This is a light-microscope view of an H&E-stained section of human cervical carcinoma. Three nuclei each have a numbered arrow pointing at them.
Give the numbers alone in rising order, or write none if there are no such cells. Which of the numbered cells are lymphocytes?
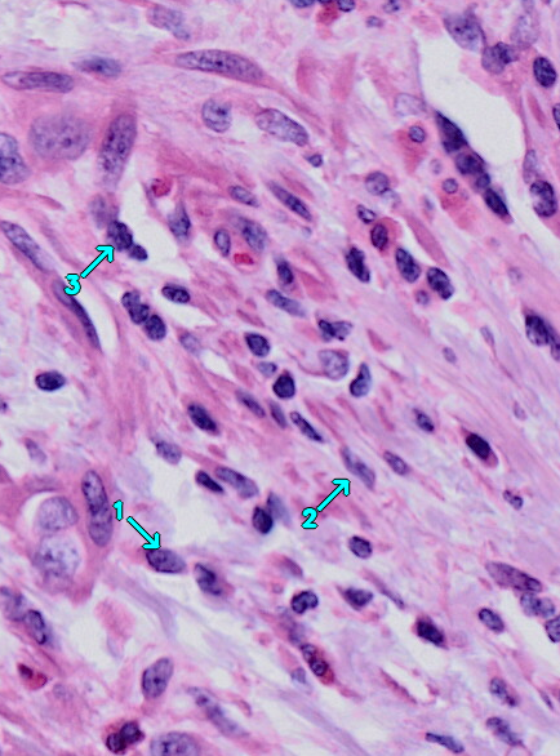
3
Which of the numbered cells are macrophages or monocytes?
1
